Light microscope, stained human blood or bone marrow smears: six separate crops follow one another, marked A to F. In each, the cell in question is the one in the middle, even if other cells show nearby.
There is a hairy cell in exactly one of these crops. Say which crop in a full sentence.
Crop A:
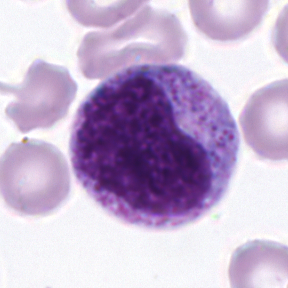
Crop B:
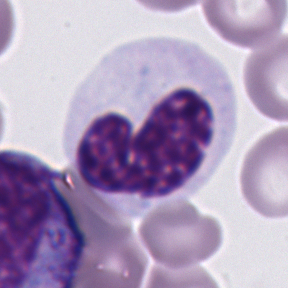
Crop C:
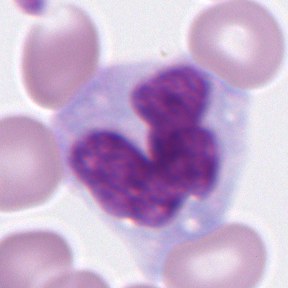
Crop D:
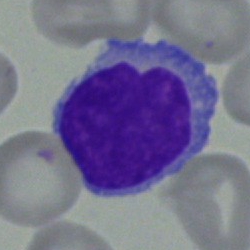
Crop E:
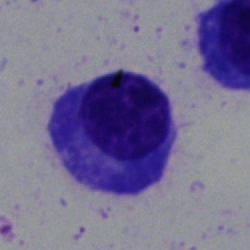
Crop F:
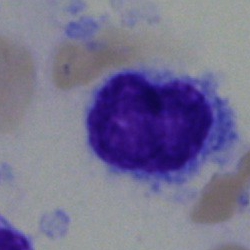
The crop carrying a hairy cell at the center is crop F.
